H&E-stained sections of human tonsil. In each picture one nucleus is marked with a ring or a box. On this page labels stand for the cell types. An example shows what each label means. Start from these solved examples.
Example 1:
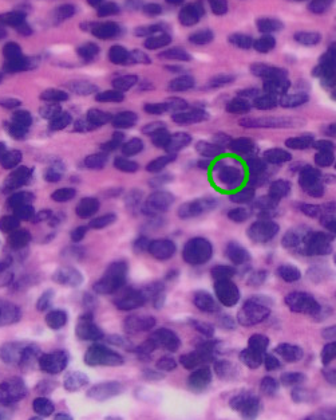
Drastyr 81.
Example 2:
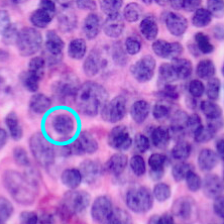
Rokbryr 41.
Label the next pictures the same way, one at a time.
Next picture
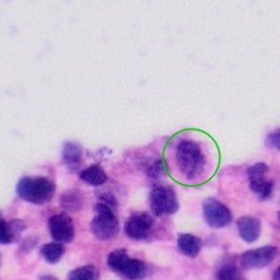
Rokbryr 41.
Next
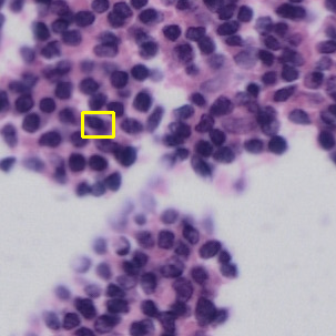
Drastyr 81.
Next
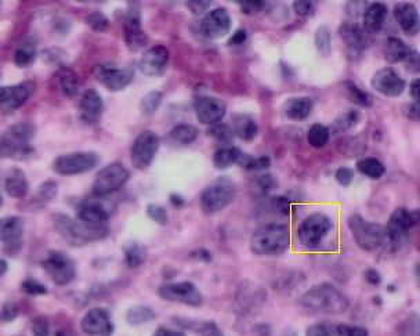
Rokbryr 41.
